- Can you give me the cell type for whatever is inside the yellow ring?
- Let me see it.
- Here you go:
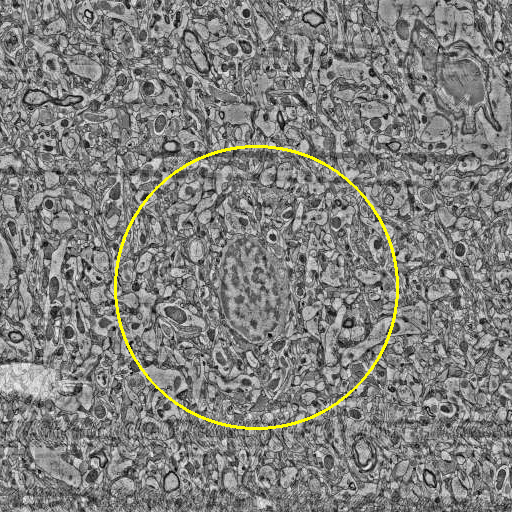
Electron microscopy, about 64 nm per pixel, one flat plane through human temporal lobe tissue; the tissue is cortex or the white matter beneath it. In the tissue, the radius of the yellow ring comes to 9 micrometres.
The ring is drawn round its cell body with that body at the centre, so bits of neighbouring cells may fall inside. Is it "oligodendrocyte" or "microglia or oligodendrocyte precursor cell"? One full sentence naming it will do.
The cell body in the middle of the ring in this picture belongs to an oligodendrocyte.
